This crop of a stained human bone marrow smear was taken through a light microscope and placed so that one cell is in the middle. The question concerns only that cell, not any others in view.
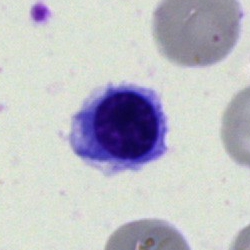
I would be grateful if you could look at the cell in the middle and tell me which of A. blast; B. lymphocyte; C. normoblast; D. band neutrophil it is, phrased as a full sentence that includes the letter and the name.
The cell at the centre, correctly named in option C, is a normoblast.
